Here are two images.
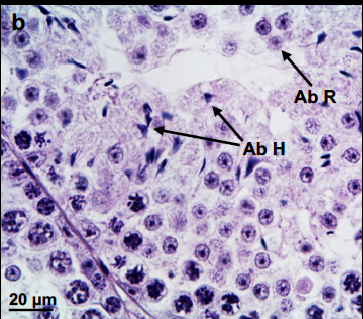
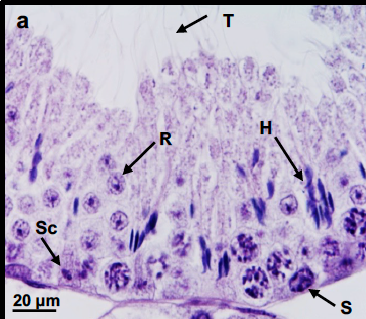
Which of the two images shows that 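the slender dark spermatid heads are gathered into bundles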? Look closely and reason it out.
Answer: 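First image: small dark spermatid heads lie scattered singly among round cells. Second image: long dark spermatid heads lie in grouped bundles reaching into the epithelium.
Conclusion: the second image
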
